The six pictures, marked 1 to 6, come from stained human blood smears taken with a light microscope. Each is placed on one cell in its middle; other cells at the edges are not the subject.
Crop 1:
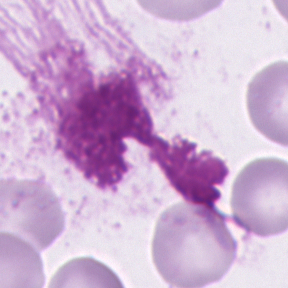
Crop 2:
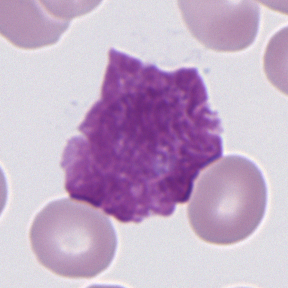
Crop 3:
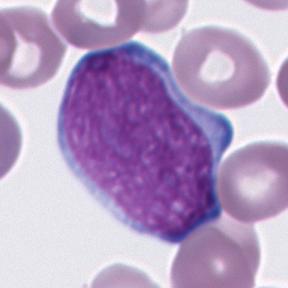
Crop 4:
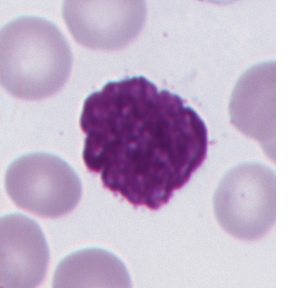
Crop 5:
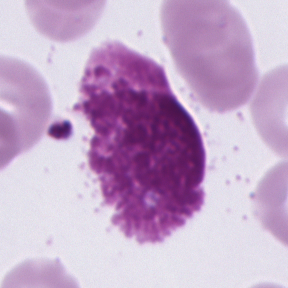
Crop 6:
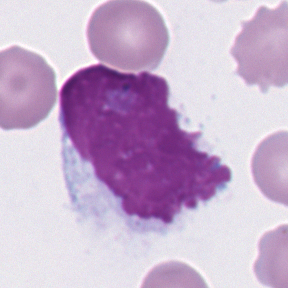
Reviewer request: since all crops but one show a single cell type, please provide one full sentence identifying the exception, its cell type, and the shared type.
Of these crops, only crop 3 is a myeloblast; the others are smudge cells.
